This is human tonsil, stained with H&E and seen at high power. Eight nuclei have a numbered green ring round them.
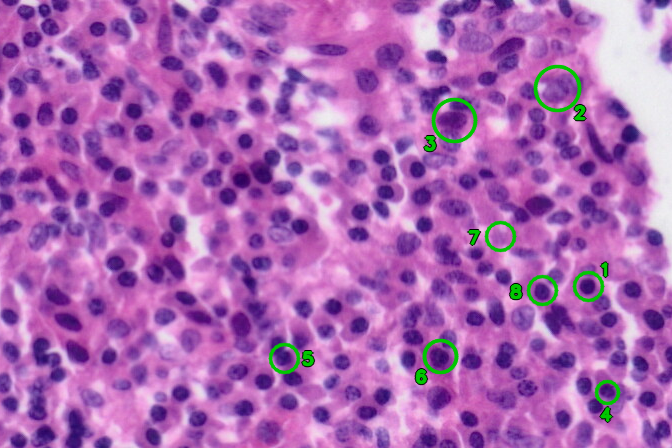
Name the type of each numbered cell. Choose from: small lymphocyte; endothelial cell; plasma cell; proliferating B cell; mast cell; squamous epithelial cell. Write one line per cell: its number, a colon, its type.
1: plasma cell
2: squamous epithelial cell
3: squamous epithelial cell
4: plasma cell
5: plasma cell
6: plasma cell
7: squamous epithelial cell
8: plasma cell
